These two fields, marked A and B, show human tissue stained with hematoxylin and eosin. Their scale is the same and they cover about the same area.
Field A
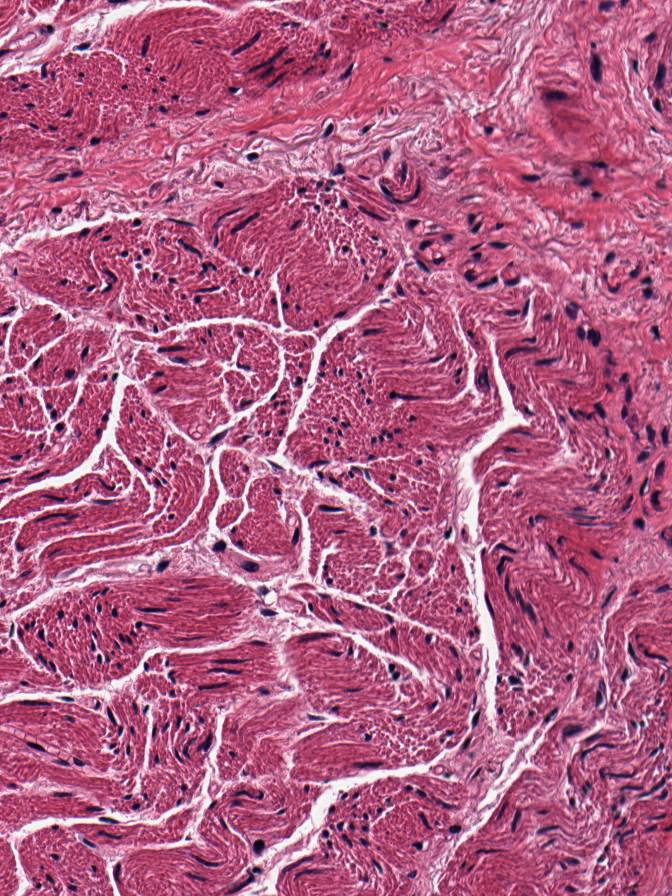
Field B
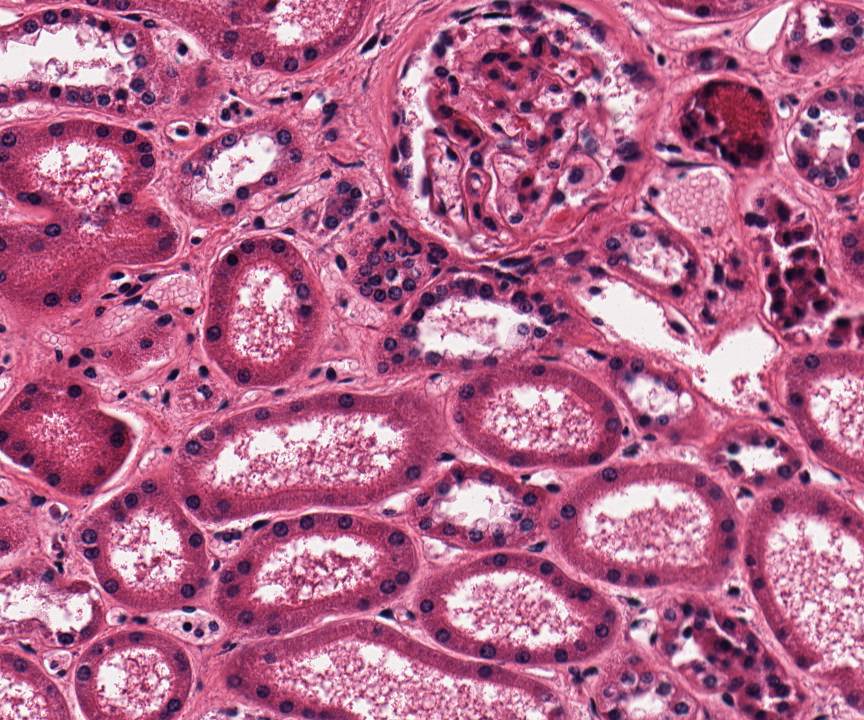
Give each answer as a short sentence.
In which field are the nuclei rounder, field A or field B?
On the whole the nuclei of field B are rounder than those of field A.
